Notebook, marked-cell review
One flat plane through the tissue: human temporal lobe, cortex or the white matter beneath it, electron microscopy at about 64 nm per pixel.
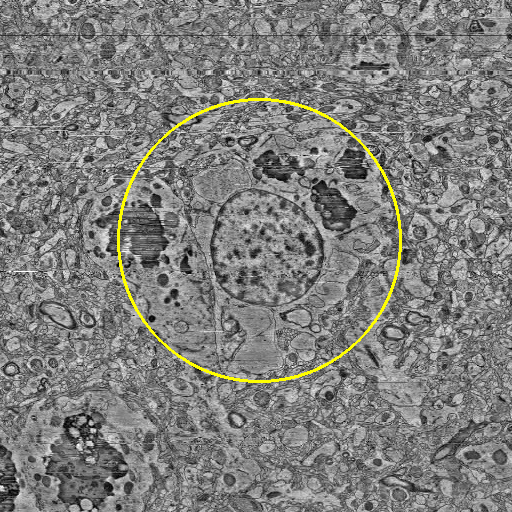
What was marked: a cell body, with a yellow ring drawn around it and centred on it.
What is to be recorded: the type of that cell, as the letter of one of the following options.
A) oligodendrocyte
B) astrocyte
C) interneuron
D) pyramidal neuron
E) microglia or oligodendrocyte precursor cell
B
